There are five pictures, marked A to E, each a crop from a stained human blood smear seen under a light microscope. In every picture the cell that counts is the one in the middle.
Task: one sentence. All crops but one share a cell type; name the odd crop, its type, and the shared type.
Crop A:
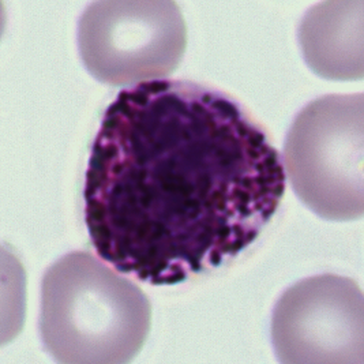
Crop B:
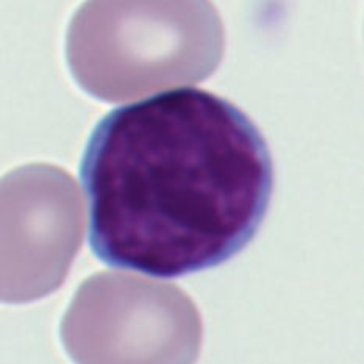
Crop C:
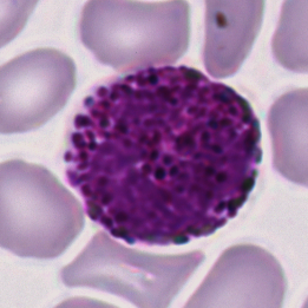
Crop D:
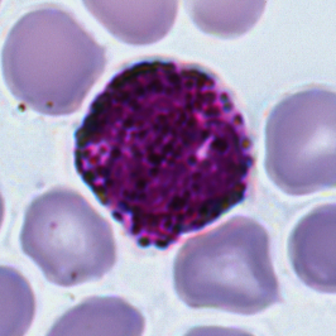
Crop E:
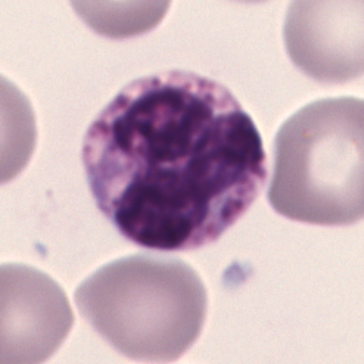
Crop B holds a typical lymphocyte, unlike the remaining crops, all of which hold basophils.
